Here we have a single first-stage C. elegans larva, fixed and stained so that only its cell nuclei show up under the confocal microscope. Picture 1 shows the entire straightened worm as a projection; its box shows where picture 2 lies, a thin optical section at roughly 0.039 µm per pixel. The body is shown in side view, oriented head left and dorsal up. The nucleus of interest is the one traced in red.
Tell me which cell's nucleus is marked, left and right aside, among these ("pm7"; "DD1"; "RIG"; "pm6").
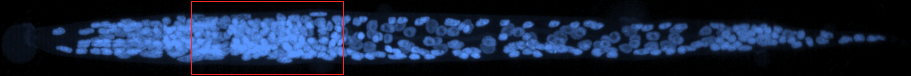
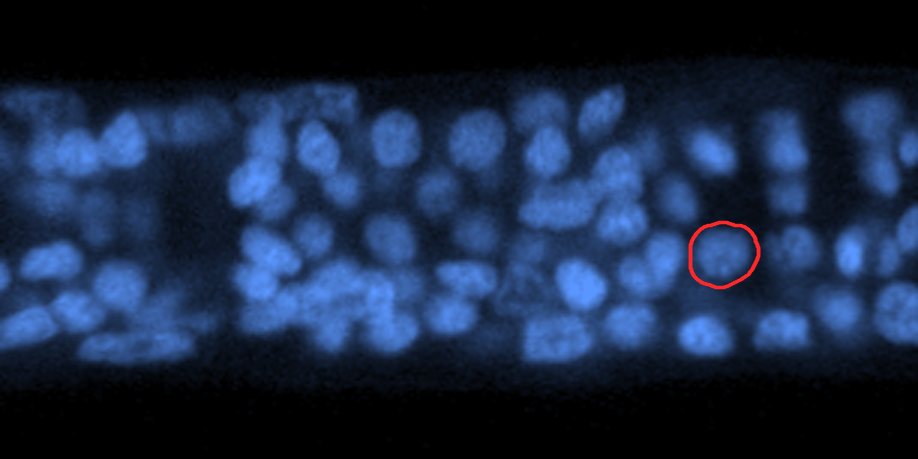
pm6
